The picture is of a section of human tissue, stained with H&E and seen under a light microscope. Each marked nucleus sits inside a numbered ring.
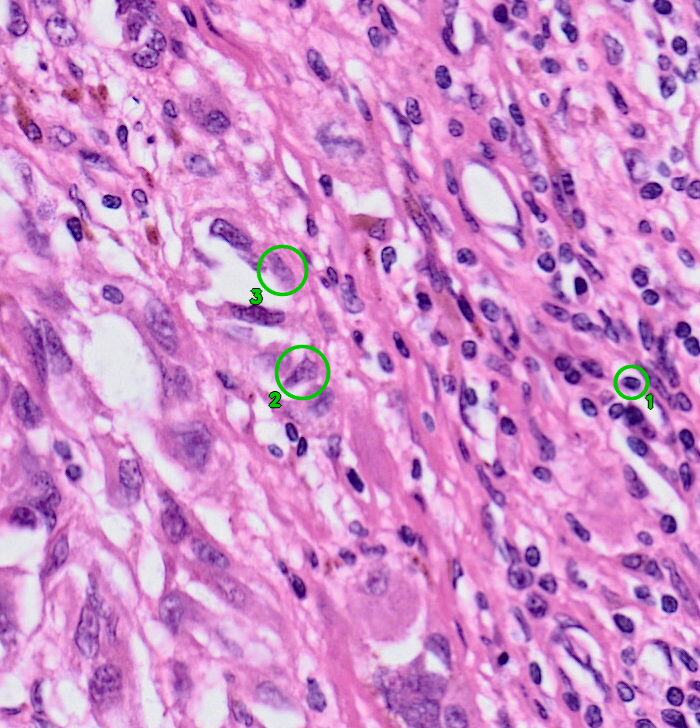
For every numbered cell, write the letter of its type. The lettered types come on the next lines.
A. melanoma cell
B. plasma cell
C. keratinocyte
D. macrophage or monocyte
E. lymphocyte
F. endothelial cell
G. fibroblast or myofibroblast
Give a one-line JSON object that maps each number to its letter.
{"1": "E", "2": "A", "3": "A"}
